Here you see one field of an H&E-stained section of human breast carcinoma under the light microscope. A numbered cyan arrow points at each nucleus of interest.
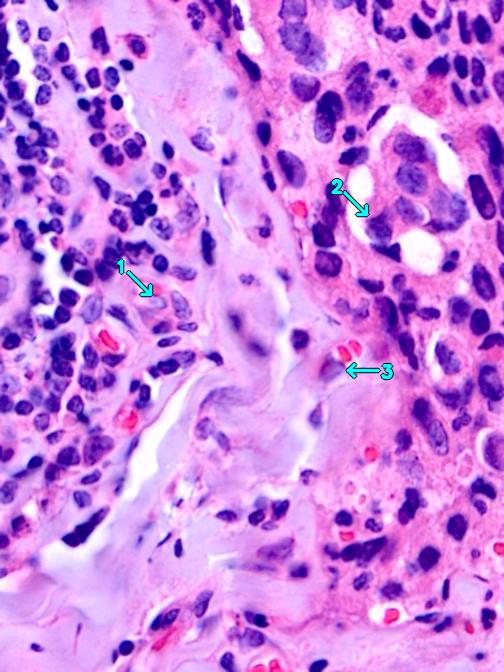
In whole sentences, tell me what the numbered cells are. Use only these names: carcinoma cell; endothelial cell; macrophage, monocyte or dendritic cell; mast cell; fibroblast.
Cells 1 and 3 are endothelial cells. Cell 2 is a carcinoma cell.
